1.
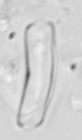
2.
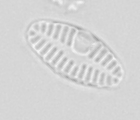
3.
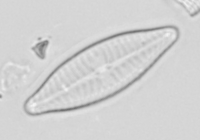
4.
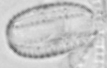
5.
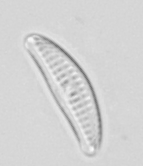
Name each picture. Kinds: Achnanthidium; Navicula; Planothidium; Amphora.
(1) Achnanthidium
(2) Planothidium
(3) Navicula
(4) Amphora
(5) Amphora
